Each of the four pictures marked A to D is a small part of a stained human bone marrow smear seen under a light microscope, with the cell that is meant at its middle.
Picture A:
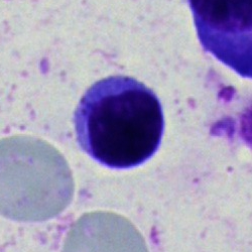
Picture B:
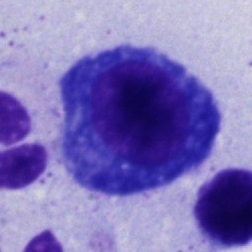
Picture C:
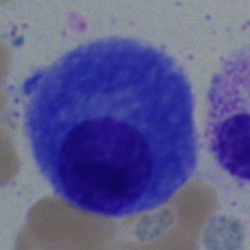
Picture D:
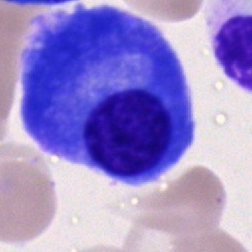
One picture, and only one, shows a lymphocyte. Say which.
A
